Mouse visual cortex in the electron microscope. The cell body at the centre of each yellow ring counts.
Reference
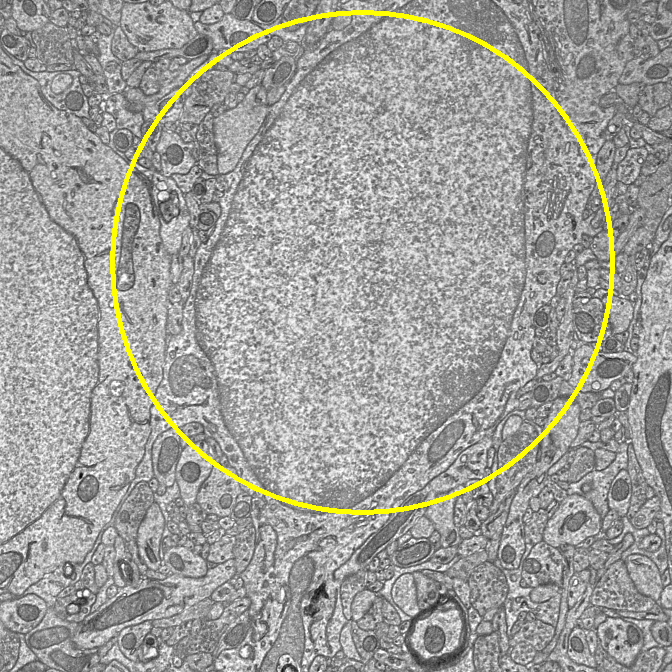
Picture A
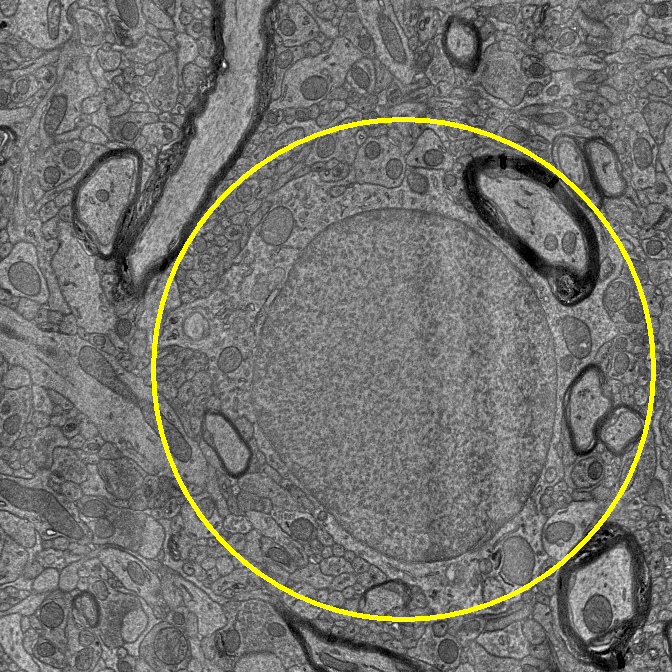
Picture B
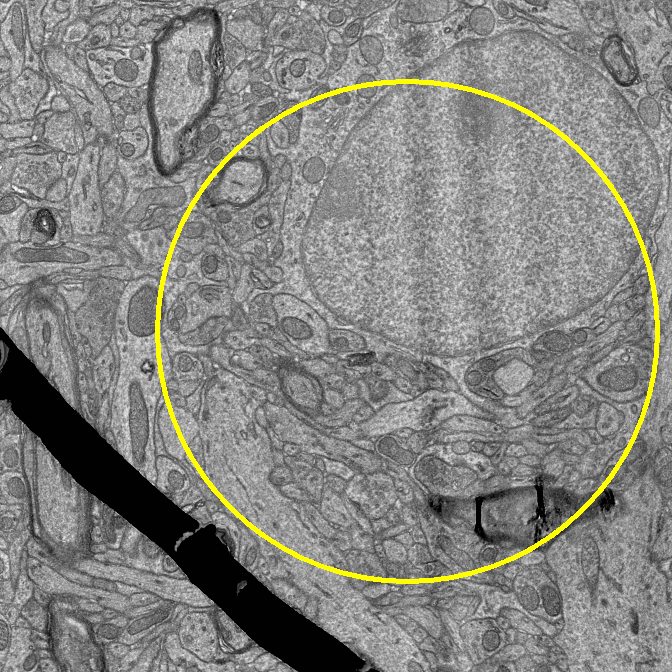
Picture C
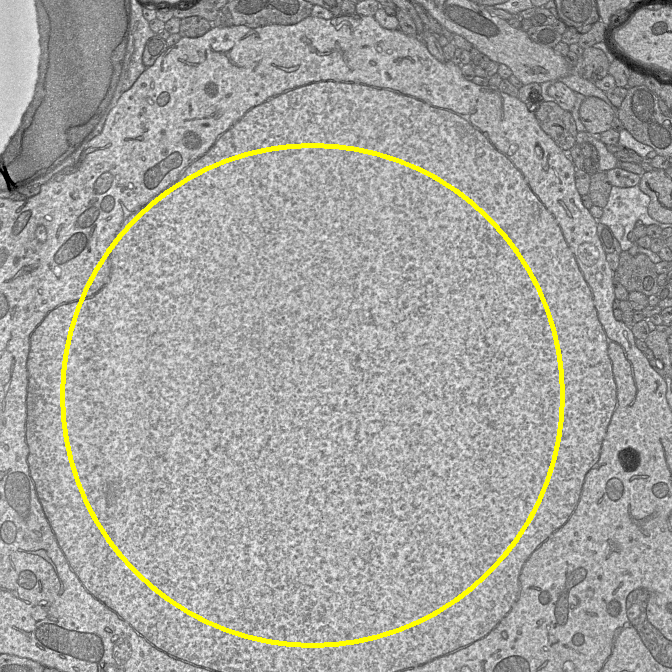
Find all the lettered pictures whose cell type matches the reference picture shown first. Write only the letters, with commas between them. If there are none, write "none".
A, B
